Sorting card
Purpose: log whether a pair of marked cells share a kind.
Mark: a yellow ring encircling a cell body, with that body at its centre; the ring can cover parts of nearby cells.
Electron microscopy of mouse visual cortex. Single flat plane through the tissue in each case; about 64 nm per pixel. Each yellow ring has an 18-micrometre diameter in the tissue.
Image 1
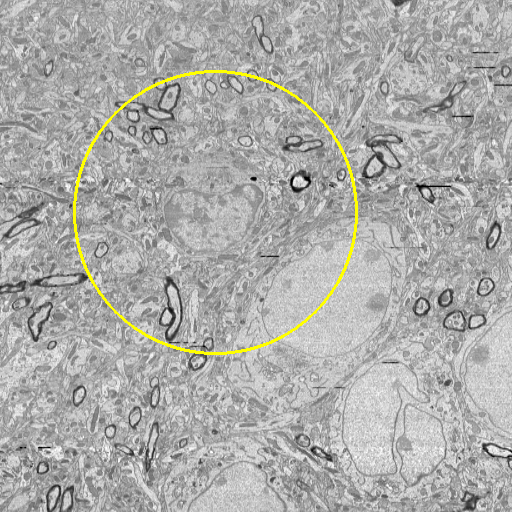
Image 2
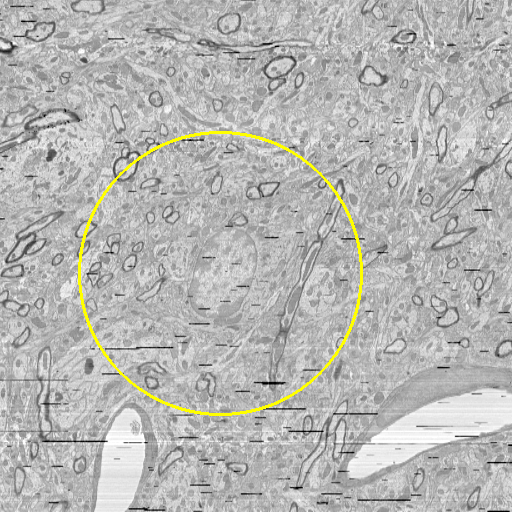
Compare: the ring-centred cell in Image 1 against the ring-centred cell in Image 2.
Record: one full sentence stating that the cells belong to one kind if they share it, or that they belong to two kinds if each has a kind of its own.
Across Images 1 and 2, the two ring-centred cells belong to one kind.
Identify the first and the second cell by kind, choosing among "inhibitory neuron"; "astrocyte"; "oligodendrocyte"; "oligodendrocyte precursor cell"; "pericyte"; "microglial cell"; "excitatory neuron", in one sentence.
Each cell, in the first picture and the second, is an oligodendrocyte.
